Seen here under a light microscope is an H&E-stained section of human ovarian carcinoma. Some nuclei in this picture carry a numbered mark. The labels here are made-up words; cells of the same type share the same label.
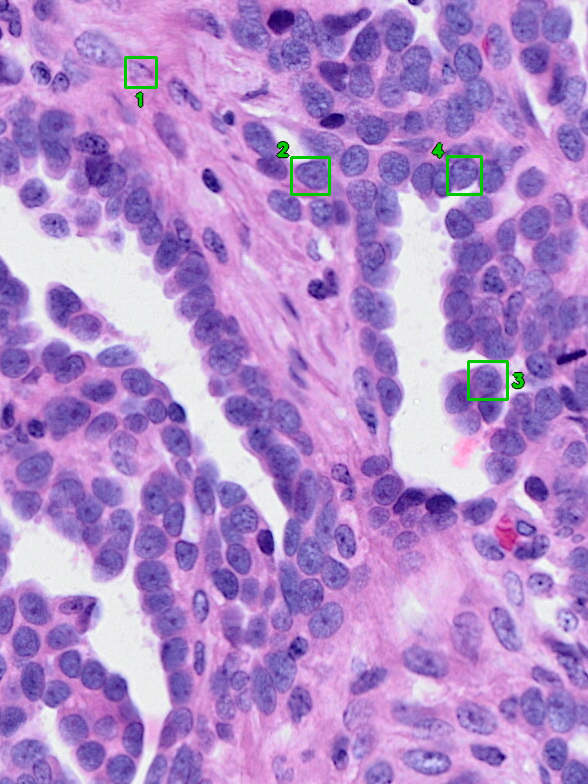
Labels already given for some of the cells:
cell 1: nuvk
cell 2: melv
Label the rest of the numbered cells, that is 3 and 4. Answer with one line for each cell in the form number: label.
3: melv
4: melv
